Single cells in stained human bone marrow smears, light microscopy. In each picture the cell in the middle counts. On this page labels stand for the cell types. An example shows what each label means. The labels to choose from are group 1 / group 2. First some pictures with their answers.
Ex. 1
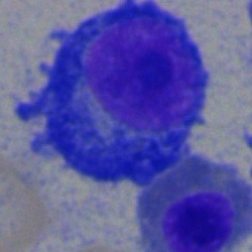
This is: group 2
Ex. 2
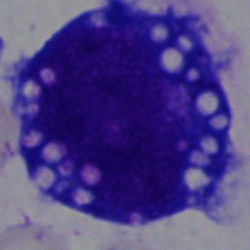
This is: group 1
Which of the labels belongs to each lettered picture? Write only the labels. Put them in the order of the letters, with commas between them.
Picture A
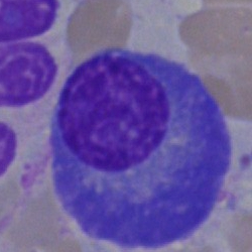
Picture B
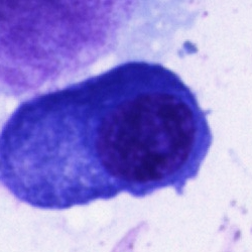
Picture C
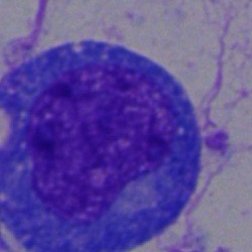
group 2, group 2, group 1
